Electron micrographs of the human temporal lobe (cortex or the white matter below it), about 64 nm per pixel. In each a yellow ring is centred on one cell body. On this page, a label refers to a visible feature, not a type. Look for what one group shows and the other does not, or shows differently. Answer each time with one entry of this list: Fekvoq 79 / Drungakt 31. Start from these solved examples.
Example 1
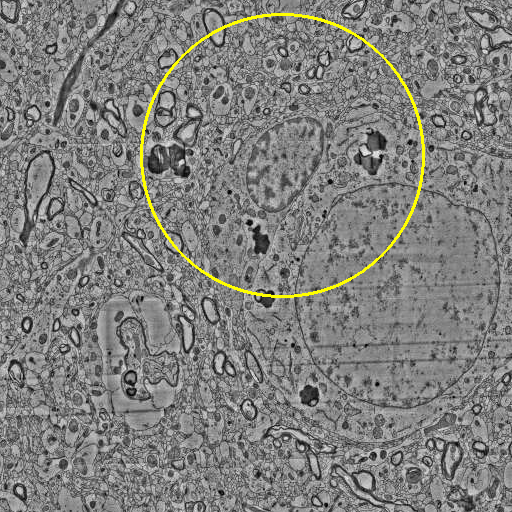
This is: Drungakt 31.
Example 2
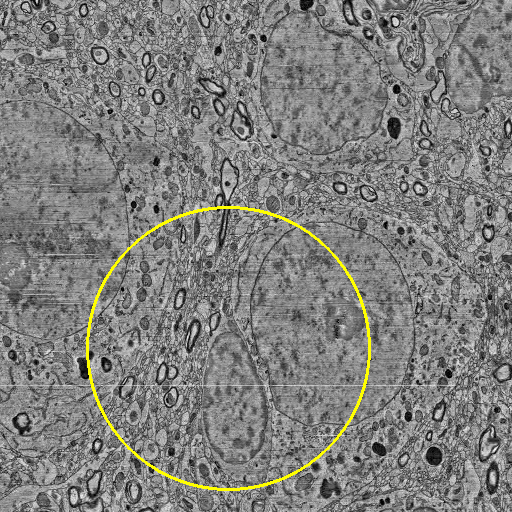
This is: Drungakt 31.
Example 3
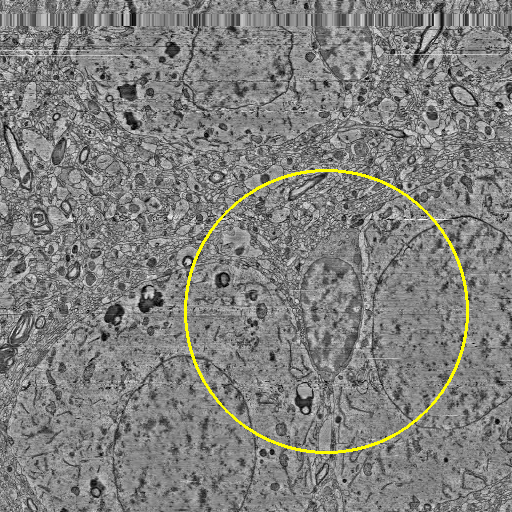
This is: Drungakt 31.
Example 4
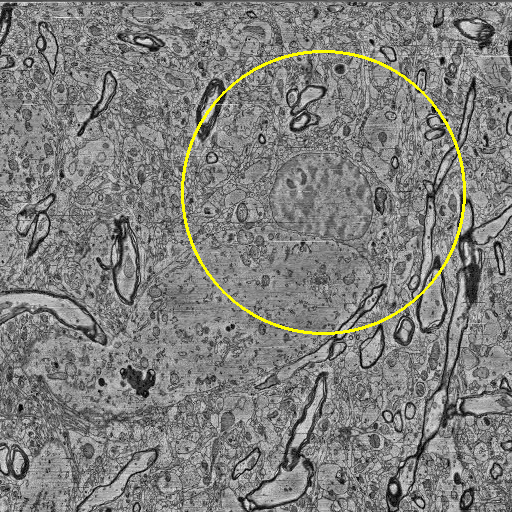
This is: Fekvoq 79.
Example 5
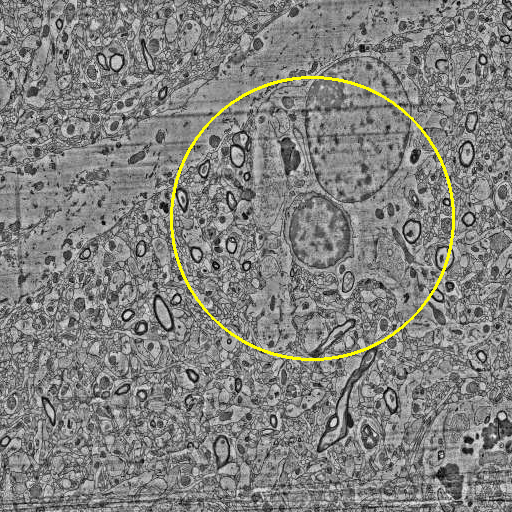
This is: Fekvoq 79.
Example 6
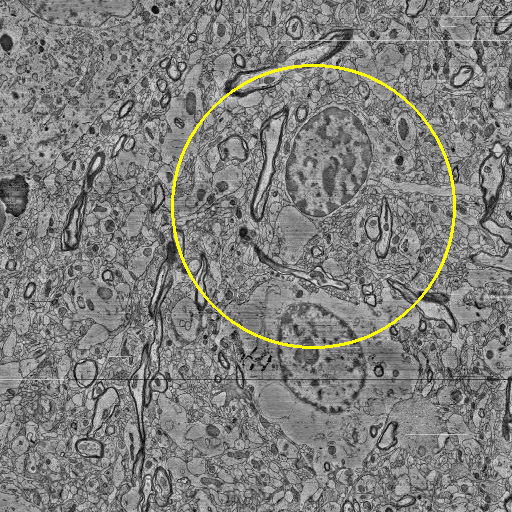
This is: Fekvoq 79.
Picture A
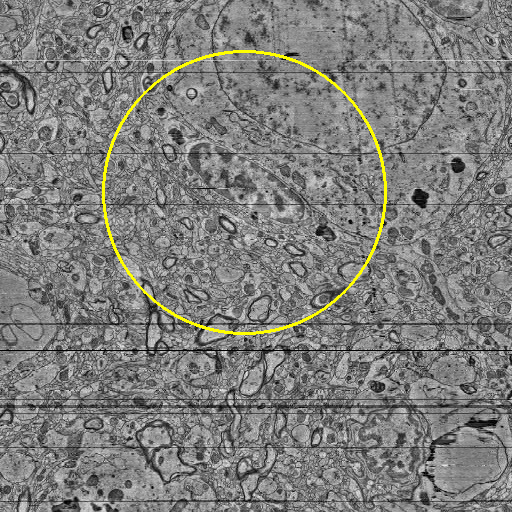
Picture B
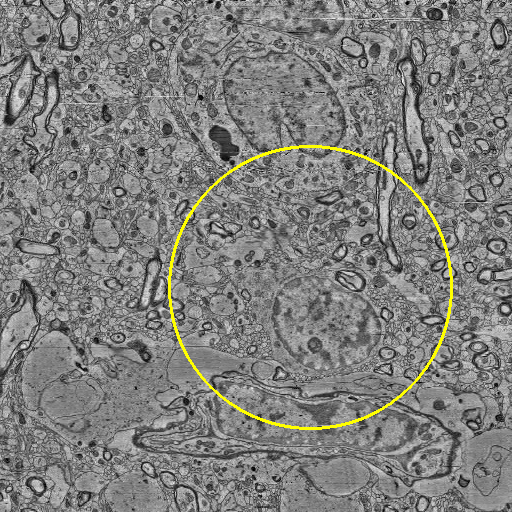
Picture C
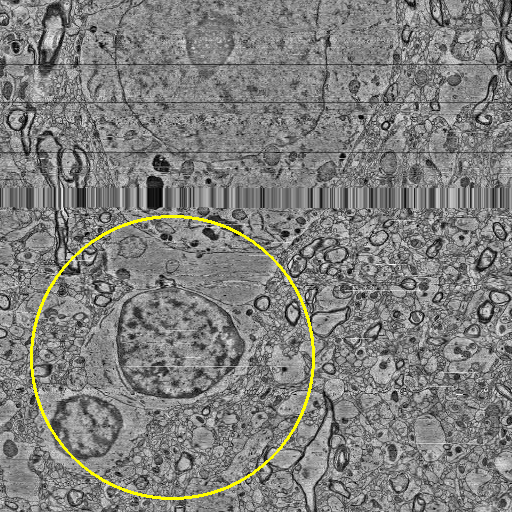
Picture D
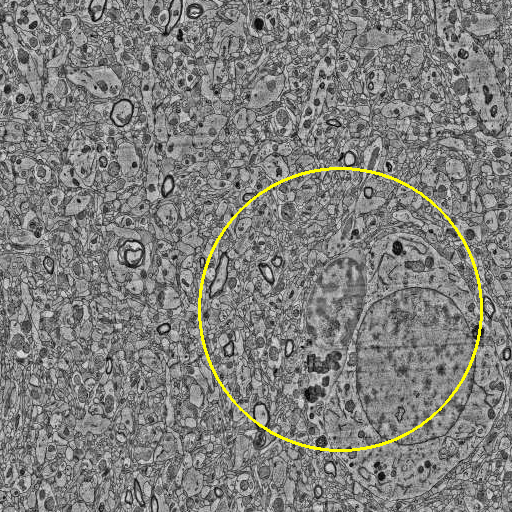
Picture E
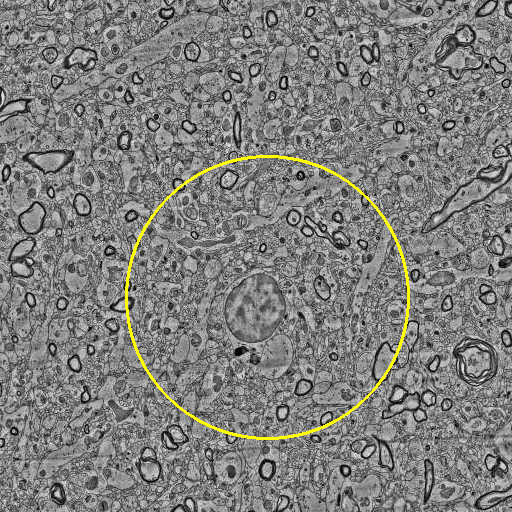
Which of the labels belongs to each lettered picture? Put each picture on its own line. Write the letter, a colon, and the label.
A: Drungakt 31.
B: Fekvoq 79.
C: Fekvoq 79.
D: Fekvoq 79.
E: Fekvoq 79.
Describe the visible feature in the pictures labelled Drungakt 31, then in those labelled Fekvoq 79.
Seen in Drungakt 31: clearly elongated nuclei; seen in Fekvoq 79: round or nearly round nuclei.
